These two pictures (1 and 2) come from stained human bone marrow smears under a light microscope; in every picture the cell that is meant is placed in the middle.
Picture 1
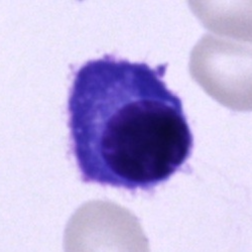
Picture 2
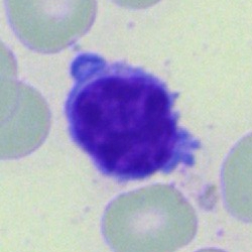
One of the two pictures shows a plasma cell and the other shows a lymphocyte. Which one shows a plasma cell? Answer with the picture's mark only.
1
